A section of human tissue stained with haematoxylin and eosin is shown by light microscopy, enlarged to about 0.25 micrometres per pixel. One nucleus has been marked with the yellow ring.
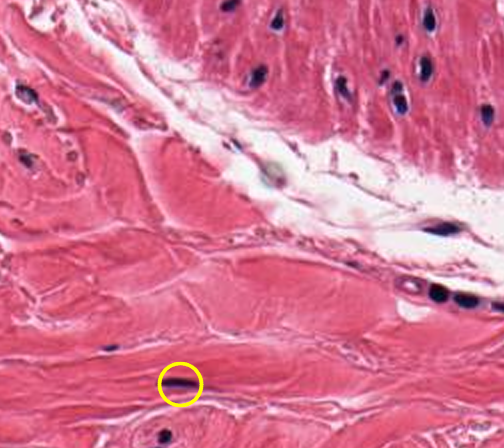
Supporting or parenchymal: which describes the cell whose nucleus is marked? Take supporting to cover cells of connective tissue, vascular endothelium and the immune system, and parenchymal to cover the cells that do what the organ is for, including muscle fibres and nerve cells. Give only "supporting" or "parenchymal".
supporting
